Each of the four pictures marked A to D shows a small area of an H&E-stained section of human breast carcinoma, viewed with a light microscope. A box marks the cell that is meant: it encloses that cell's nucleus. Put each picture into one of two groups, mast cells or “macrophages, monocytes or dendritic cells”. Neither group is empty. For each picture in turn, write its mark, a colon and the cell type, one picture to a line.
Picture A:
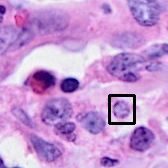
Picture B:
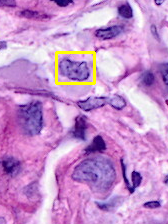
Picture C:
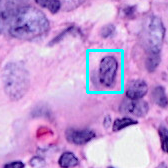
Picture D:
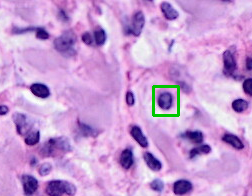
A: macrophage, monocyte or dendritic cell
B: macrophage, monocyte or dendritic cell
C: macrophage, monocyte or dendritic cell
D: mast cell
